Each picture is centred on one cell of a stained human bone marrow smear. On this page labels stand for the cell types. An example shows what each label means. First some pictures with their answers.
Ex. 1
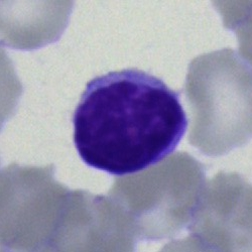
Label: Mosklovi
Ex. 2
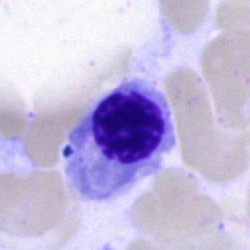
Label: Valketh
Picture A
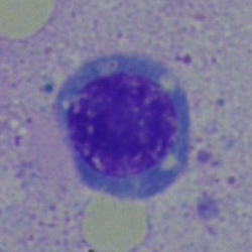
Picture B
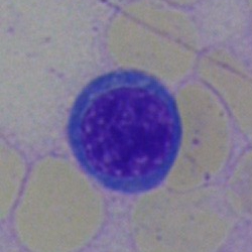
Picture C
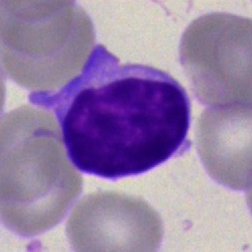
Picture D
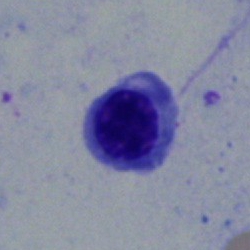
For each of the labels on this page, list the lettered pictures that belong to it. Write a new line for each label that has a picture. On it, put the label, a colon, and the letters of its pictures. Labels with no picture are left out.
Mosklovi: C
Valketh: A, B, D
